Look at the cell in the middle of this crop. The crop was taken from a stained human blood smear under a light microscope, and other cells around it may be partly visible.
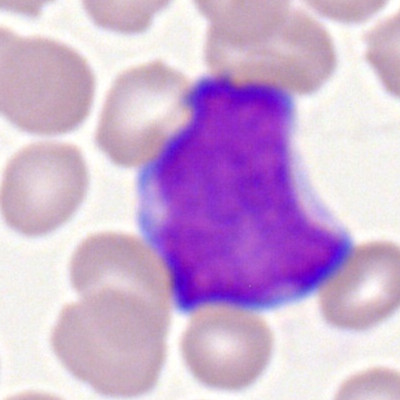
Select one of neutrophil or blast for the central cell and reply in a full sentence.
The crop centres on a single cell, and that cell is a blast.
